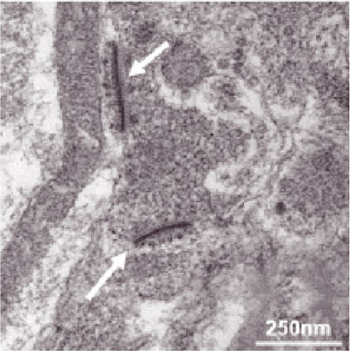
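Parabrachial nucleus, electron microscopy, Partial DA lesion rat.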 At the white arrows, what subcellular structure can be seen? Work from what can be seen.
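Each arrow points to a thin, dark electron-dense band along a membrane. One band is straight and vertical, the other short and slightly curved. That points to this answer: post-synaptic densities.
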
